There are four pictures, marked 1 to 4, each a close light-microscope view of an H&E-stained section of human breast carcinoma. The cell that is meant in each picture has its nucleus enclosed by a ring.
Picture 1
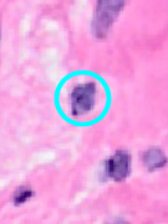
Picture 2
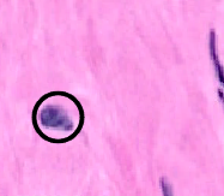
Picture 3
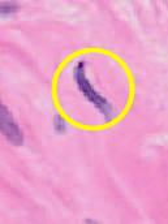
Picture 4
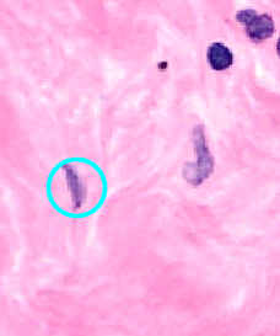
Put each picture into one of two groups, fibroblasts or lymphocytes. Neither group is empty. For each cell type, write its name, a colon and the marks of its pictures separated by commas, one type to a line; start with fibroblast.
fibroblast: 3, 4
lymphocyte: 1, 2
